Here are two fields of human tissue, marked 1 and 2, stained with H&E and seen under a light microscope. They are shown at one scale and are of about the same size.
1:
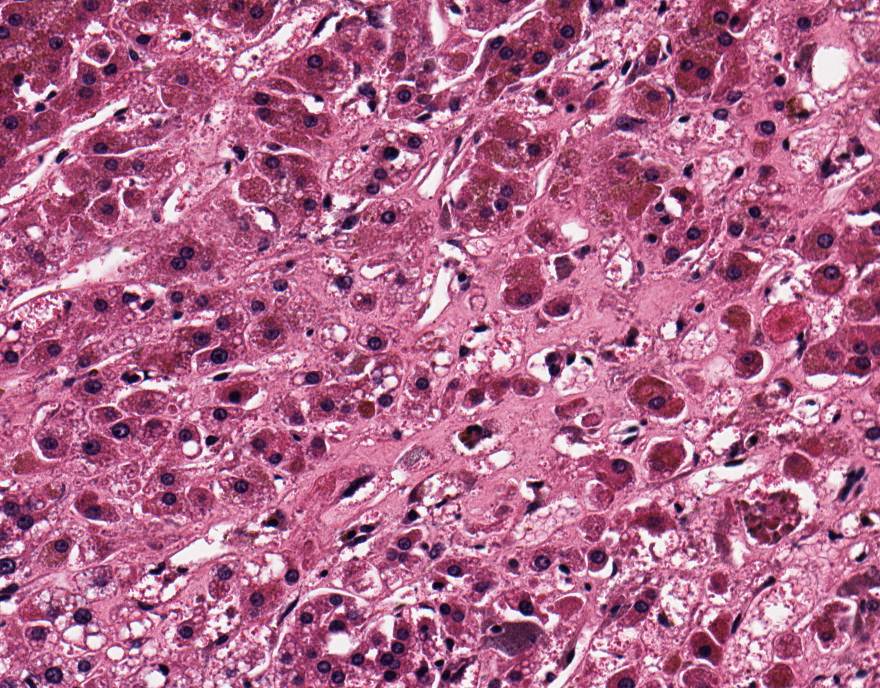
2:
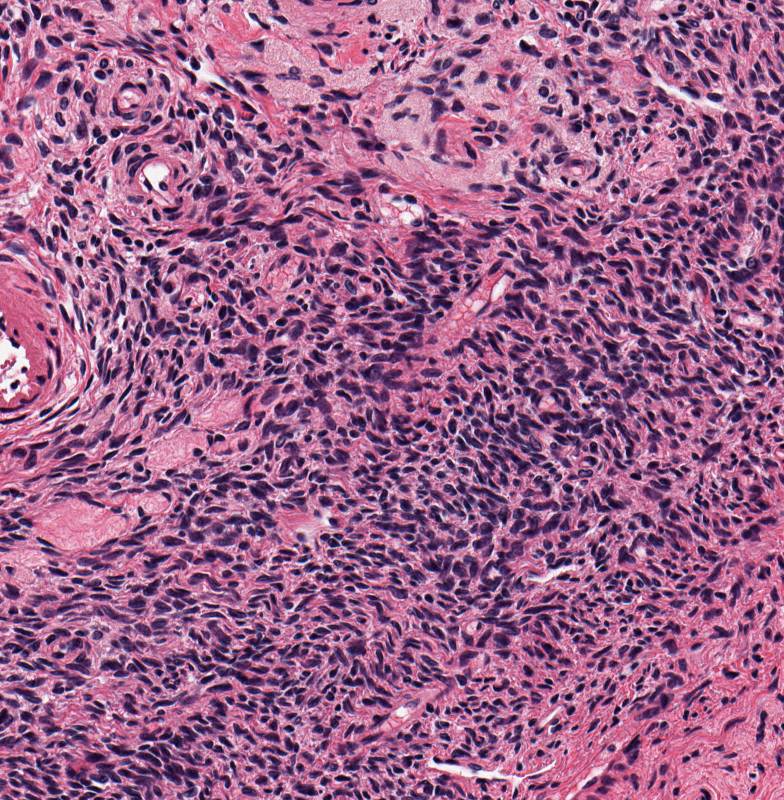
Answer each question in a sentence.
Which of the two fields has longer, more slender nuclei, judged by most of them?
It is picture 2 whose nuclei are the more elongated.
